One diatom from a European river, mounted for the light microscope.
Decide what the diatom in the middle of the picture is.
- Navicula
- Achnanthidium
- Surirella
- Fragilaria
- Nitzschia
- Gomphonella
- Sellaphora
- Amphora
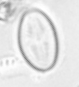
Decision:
Sellaphora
